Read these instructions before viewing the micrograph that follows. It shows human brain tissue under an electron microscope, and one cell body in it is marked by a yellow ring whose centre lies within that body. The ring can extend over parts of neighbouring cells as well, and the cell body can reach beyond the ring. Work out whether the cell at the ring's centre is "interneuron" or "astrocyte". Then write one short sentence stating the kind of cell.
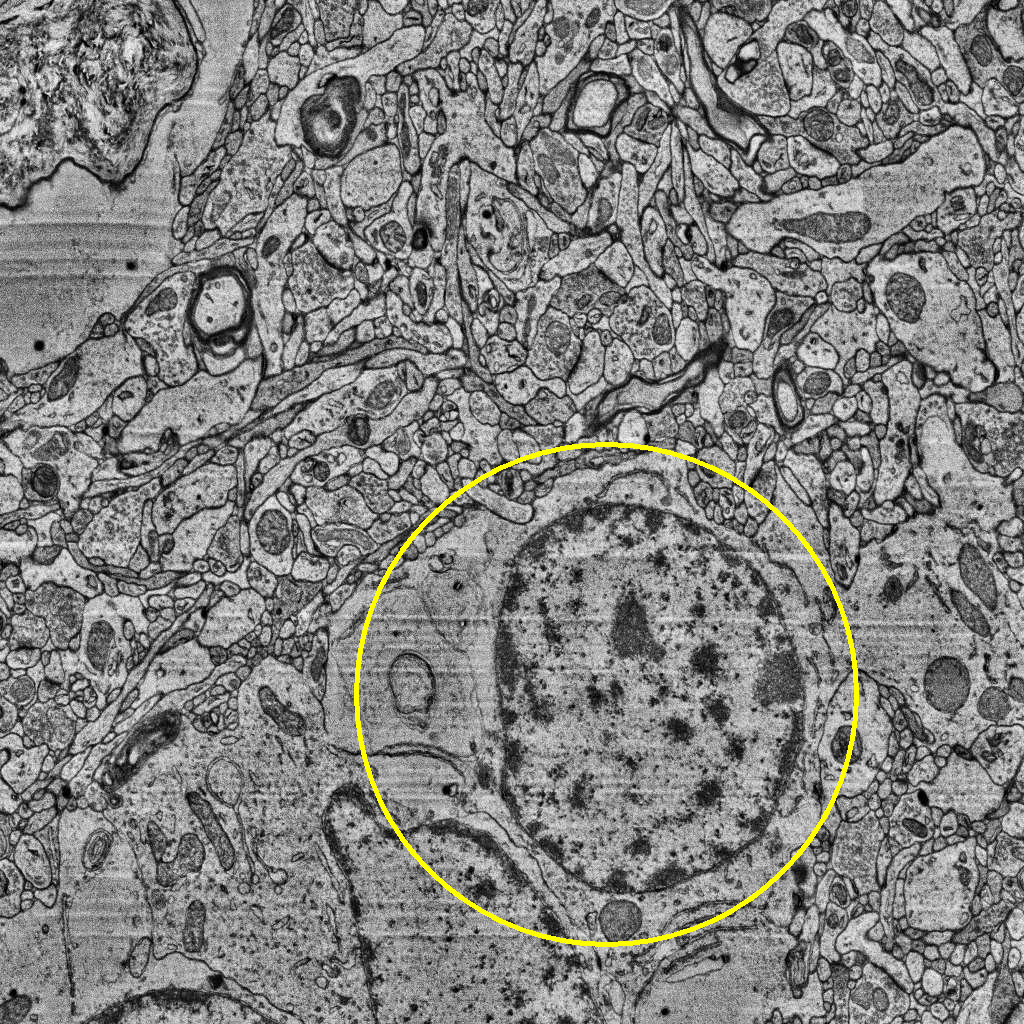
The cell at the ring's centre is an astrocyte.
